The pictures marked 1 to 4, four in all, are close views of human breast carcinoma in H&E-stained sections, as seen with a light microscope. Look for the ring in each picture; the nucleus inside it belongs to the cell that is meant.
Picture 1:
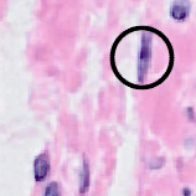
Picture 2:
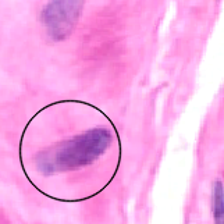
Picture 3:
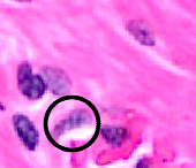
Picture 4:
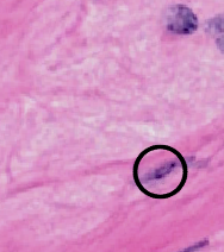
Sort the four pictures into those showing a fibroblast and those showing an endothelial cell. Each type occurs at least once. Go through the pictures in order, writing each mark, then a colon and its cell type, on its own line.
1: fibroblast
2: fibroblast
3: endothelial cell
4: fibroblast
